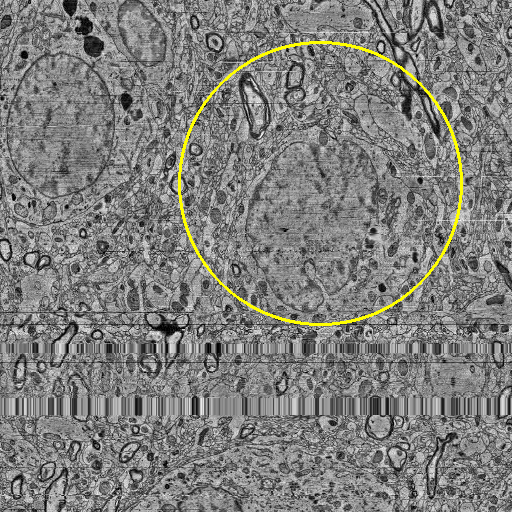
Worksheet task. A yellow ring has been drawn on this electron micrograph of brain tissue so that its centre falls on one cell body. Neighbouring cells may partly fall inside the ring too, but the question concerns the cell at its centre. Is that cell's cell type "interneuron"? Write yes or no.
yes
